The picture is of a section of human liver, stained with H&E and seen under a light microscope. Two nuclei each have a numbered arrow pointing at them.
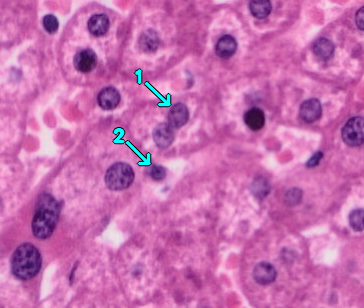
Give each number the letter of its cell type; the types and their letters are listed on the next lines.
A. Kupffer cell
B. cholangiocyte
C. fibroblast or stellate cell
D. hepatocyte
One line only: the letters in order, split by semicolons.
D; A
